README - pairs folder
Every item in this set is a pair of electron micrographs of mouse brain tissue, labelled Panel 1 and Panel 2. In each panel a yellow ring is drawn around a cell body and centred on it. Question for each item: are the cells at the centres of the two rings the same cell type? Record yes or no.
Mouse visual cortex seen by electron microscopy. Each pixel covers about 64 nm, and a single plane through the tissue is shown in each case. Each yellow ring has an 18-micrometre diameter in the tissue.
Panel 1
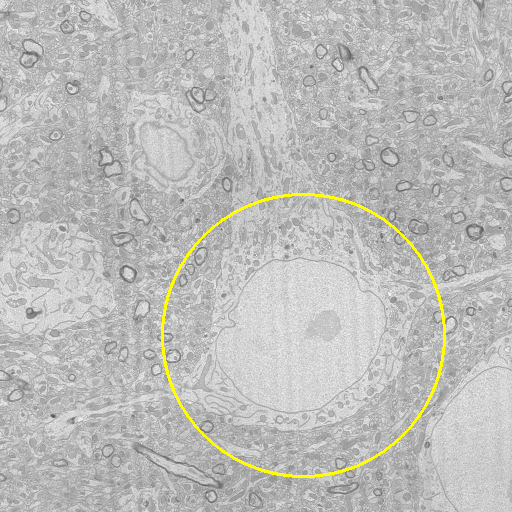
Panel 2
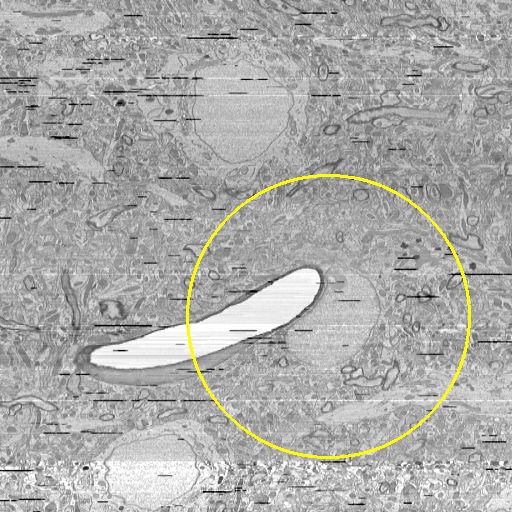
no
